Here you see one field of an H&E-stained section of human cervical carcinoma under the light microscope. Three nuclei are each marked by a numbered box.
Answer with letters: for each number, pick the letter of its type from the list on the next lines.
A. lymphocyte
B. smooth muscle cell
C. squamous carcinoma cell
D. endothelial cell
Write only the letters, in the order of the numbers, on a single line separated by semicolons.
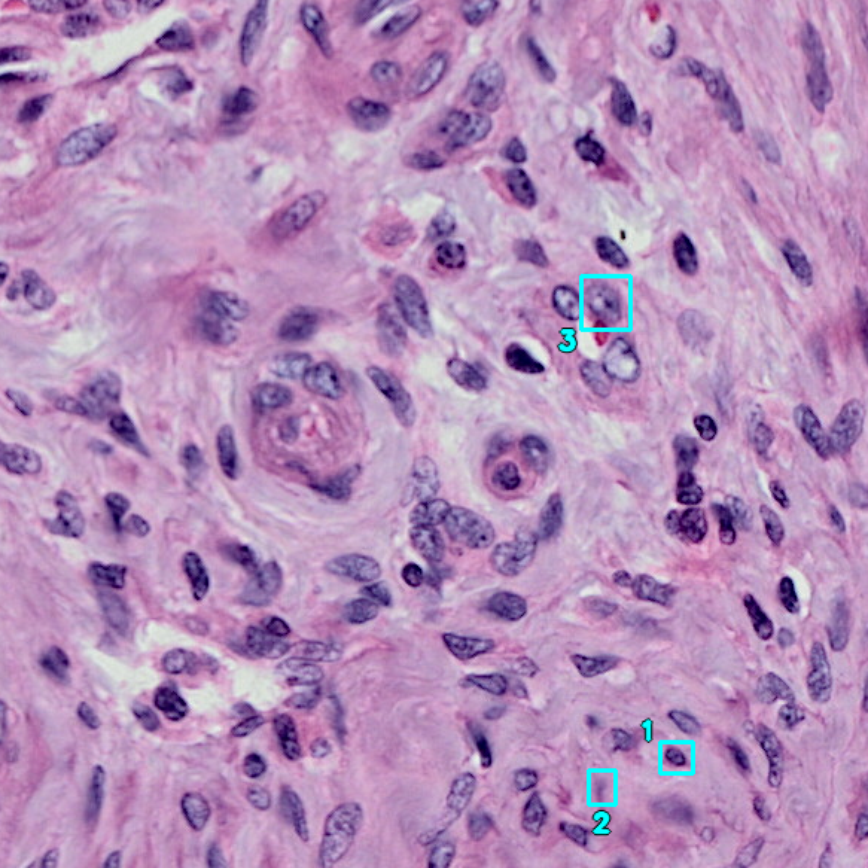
B; B; D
